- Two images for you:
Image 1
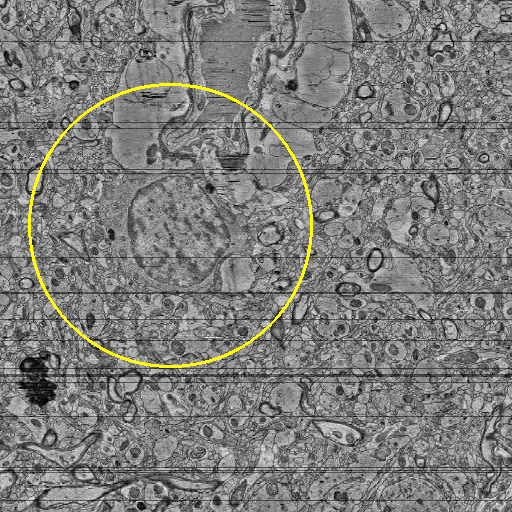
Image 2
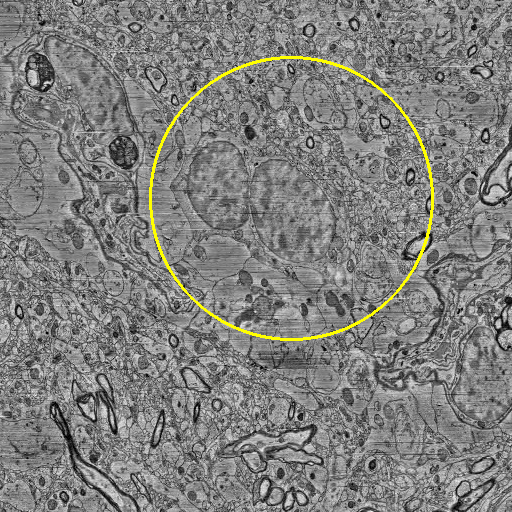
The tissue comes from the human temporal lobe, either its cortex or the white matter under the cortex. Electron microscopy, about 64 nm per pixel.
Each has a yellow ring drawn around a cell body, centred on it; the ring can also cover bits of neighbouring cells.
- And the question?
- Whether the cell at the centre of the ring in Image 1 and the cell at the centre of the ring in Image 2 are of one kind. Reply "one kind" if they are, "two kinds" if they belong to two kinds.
one kind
